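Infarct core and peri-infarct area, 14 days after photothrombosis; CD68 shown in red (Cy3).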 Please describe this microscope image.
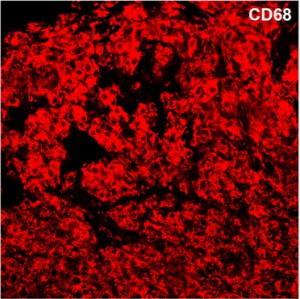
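The red cells are plump and rounded, with granular cytoplasm, and lie packed edge to edge across most of the field. A few dark irregular gaps without cells interrupt the dense sheet. Toward the lower part of the field the red cells appear smaller and more densely crowded.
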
